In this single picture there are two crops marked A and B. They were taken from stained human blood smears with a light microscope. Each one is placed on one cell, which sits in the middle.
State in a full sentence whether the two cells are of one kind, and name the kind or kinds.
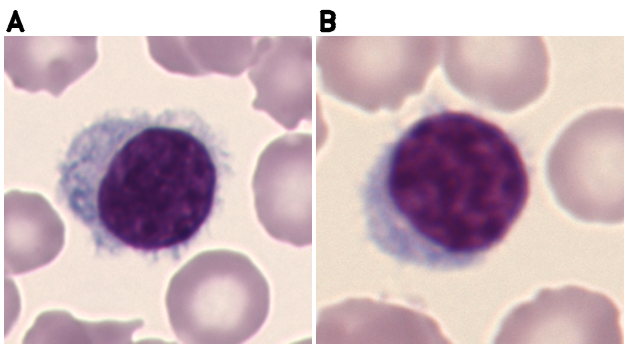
Yes, the centre cells of both crops are hairy cells.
